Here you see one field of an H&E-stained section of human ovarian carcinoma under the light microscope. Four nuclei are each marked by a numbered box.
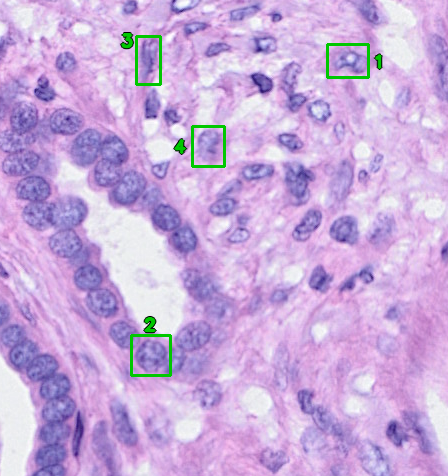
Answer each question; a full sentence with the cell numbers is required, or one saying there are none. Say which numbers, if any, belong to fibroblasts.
Identified as fibroblasts are the cells numbered 1, 3 and 4.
